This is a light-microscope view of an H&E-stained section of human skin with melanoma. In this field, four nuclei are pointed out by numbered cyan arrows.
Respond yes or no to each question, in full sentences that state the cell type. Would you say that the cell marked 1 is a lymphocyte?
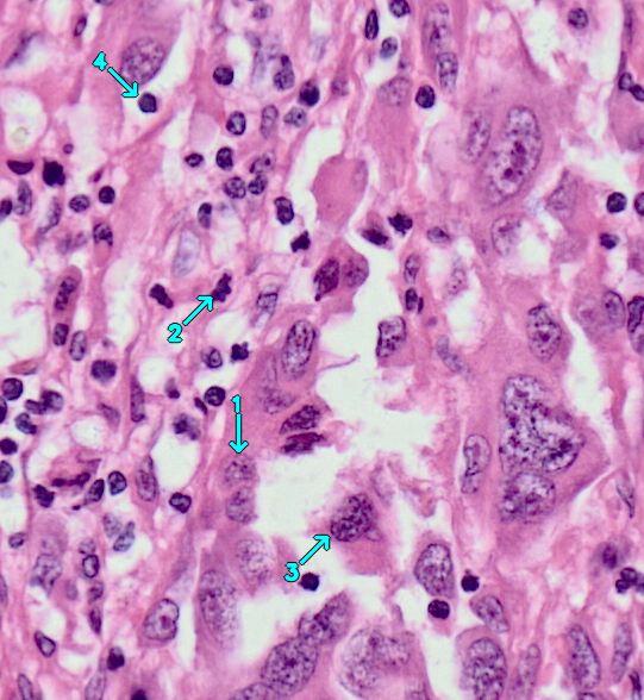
No, cell 1 is a melanoma cell, not a lymphocyte.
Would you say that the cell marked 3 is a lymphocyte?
No, the nucleus numbered 3 belongs to a melanoma cell, not a lymphocyte.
